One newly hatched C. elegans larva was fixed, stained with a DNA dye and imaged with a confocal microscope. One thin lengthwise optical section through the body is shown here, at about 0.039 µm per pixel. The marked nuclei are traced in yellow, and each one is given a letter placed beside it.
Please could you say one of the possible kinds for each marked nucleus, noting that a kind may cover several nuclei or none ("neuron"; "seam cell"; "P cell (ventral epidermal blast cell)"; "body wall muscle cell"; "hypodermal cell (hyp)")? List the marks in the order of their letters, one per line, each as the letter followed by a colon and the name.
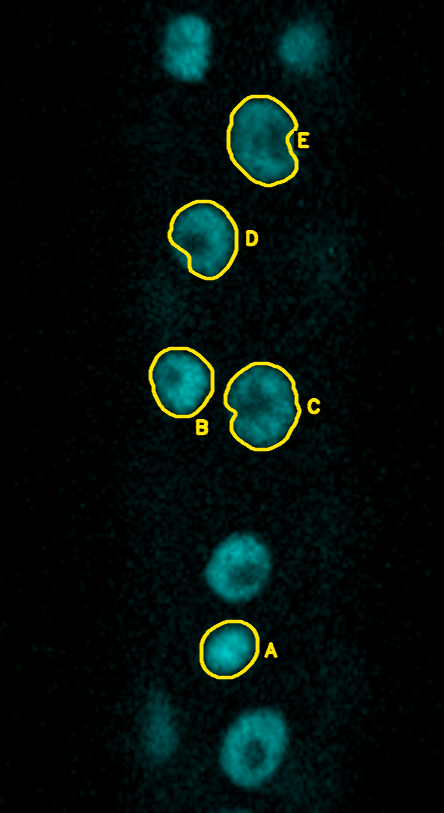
A: neuron
B: P cell (ventral epidermal blast cell)
C: hypodermal cell (hyp)
D: seam cell
E: hypodermal cell (hyp)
